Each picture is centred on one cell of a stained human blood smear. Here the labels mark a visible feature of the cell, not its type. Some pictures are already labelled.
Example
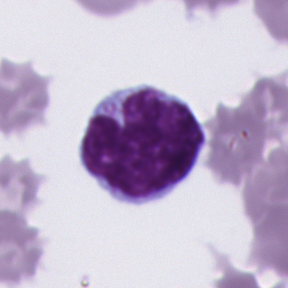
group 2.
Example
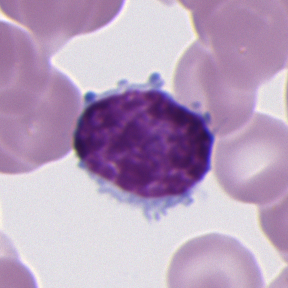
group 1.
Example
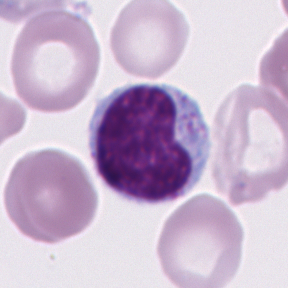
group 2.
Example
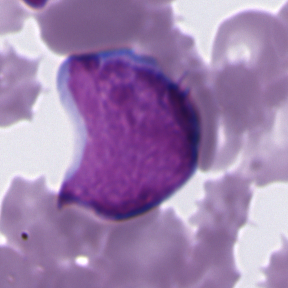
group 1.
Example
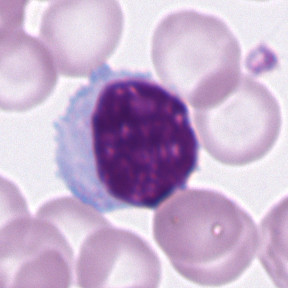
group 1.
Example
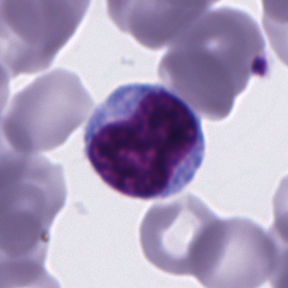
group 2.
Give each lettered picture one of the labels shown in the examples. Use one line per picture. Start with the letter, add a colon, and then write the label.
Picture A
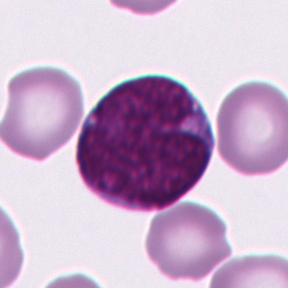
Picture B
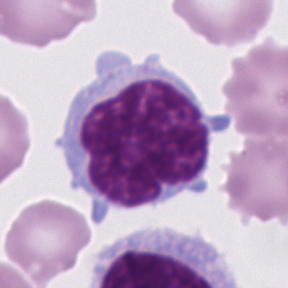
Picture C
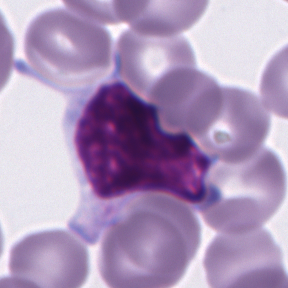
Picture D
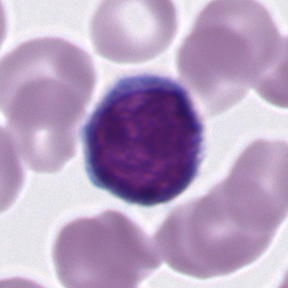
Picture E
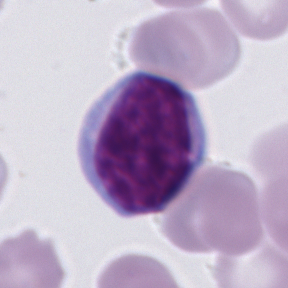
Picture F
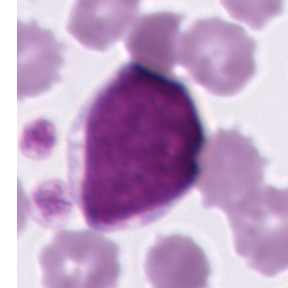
A: group 2.
B: group 1.
C: group 1.
D: group 1.
E: group 2.
F: group 2.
